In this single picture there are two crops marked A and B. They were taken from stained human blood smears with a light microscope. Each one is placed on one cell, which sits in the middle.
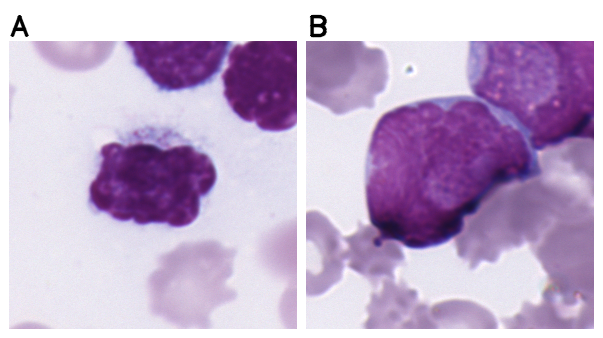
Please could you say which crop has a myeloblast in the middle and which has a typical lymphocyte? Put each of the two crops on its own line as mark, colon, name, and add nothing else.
A: typical lymphocyte
B: myeloblast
